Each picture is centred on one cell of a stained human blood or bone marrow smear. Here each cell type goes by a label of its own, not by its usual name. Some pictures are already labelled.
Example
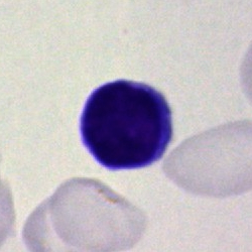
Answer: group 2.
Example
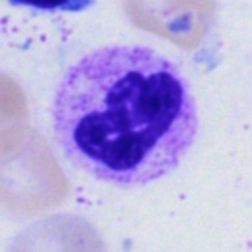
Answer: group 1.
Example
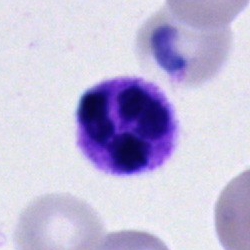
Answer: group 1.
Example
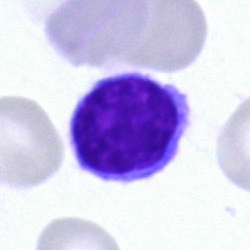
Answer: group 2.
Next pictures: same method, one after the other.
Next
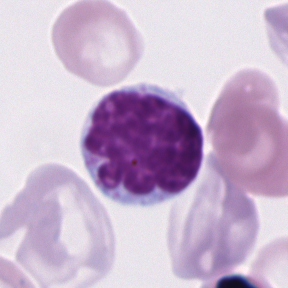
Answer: group 2.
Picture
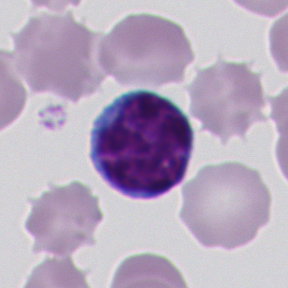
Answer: group 2.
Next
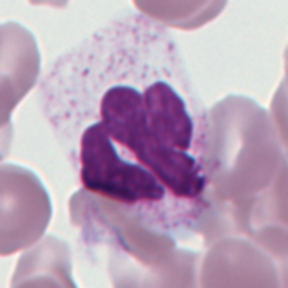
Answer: group 1.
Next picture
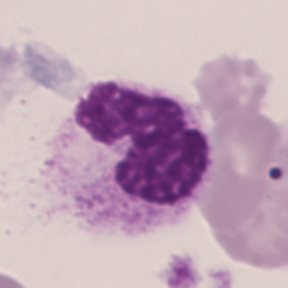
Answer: group 1.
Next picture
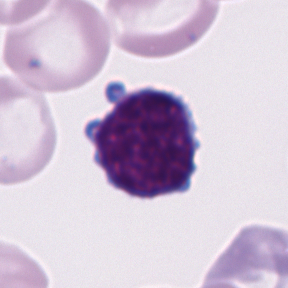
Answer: group 2.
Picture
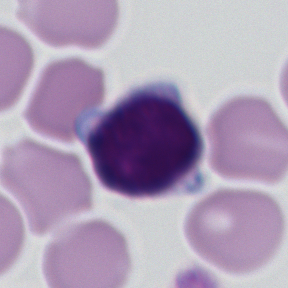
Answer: group 2.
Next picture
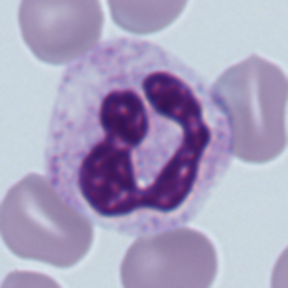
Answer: group 1.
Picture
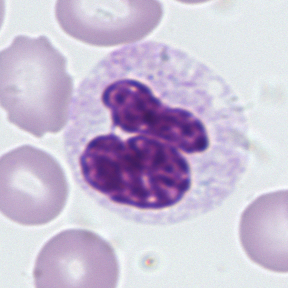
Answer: group 1.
